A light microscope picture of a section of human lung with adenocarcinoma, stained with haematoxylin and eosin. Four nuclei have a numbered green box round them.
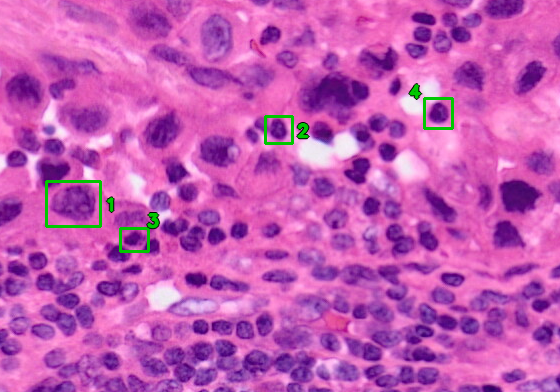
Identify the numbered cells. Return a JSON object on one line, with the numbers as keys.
{"1": "carcinoma cell", "2": "lymphocyte", "3": "lymphocyte", "4": "lymphocyte"}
